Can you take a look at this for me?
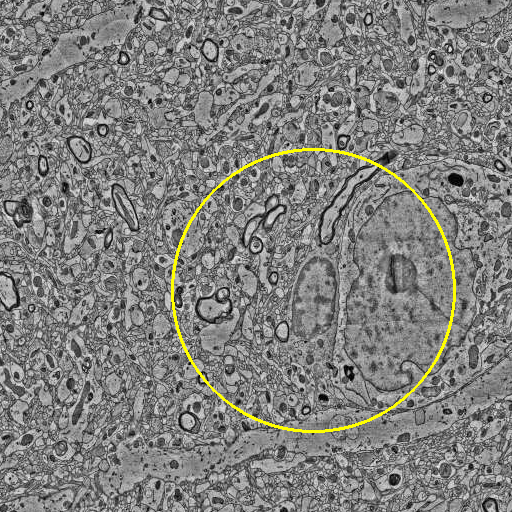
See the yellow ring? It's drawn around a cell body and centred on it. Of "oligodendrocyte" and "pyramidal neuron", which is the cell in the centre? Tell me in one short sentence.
The one in the centre is an oligodendrocyte.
